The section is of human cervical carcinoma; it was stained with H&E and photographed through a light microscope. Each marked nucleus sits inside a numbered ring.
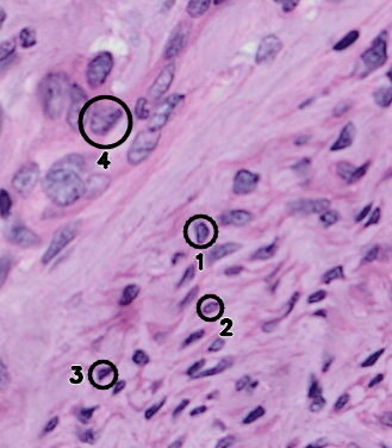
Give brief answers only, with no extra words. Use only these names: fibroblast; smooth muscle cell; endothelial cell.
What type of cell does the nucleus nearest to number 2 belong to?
smooth muscle cell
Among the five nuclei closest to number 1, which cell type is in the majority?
smooth muscle cell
